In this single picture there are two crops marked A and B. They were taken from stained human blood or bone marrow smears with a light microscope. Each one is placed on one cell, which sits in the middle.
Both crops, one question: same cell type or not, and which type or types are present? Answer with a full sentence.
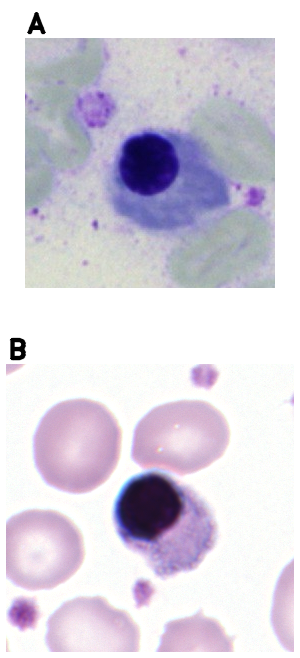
Yes, the centre of both crops is taken up by erythroblasts.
